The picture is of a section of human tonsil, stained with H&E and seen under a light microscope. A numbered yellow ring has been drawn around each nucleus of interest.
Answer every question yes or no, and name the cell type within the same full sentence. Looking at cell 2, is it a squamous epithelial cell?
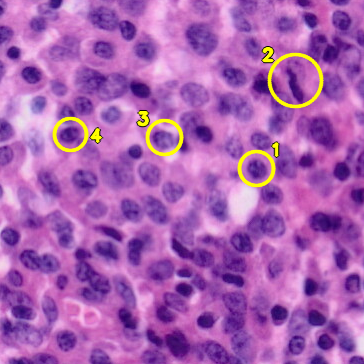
Yes, that is so; number 2 marks a squamous epithelial cell.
